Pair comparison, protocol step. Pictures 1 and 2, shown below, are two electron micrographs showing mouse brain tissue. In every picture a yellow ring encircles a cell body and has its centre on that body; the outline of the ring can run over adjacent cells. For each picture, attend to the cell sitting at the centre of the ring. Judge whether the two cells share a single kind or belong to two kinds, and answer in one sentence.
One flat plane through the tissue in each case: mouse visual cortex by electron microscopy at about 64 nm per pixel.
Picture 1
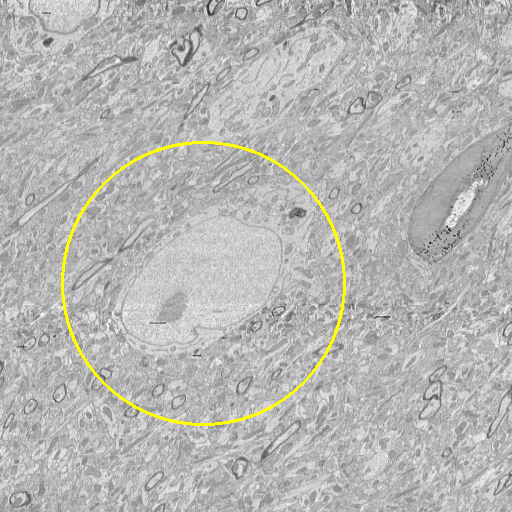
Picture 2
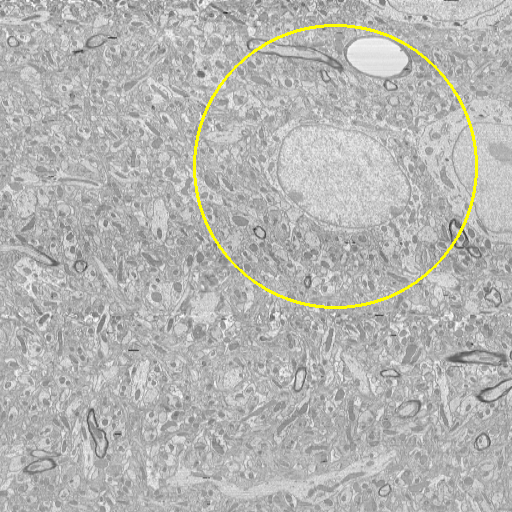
The two cells at the ring centres in Picture 1 and Picture 2 belong to two kinds.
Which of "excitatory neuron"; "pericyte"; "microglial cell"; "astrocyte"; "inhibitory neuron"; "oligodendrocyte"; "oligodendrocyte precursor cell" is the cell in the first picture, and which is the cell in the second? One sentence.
The two differ: the first cell is an excitatory neuron and the second is an astrocyte.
